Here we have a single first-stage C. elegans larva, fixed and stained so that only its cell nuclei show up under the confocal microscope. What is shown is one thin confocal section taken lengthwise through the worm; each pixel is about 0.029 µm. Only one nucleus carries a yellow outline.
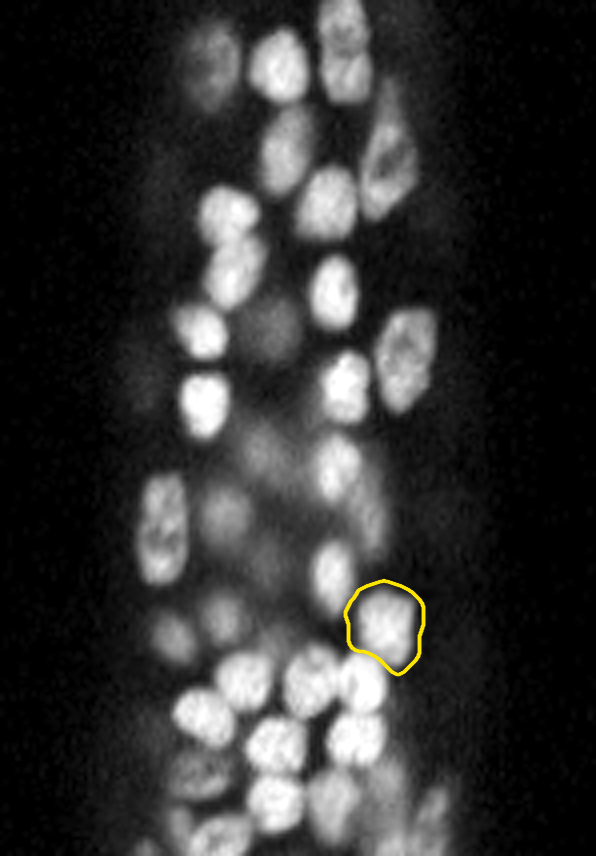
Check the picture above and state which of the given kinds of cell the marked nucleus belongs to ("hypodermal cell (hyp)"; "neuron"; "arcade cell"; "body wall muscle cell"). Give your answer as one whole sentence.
The marked nucleus is that of a neuron.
